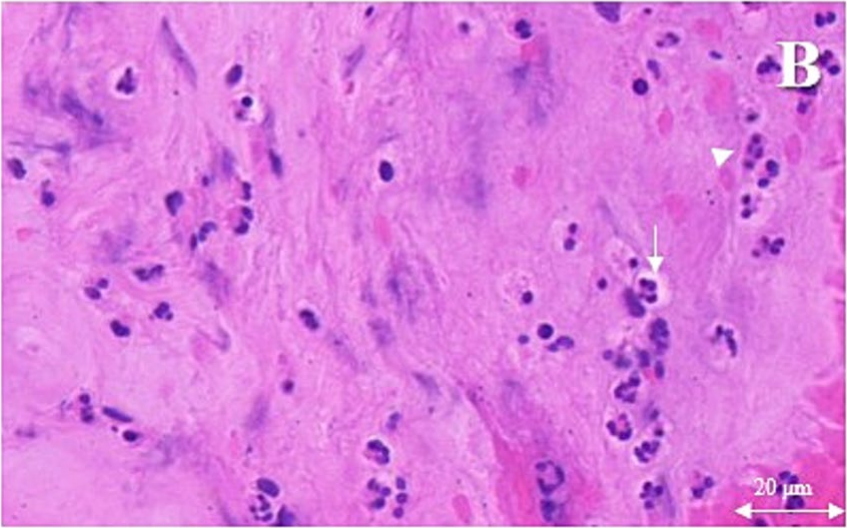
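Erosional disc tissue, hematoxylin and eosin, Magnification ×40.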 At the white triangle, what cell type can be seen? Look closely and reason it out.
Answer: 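The triangle points to a small cluster of cells with dark, lobed or segmented nuclei. Such small cells with segmented nuclei are scattered in groups through the matrix.
Inflammatory cells.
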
